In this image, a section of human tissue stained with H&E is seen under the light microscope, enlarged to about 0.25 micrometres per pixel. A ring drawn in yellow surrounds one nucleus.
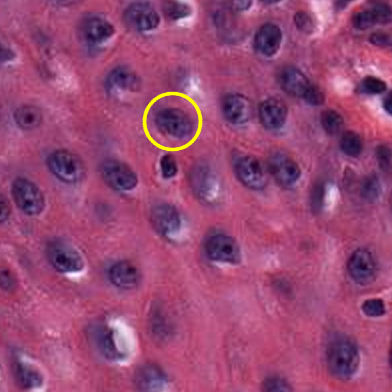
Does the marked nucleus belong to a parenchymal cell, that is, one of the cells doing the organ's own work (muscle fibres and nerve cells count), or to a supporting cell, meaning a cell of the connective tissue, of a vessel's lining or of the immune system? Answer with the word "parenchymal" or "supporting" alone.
parenchymal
